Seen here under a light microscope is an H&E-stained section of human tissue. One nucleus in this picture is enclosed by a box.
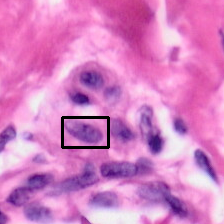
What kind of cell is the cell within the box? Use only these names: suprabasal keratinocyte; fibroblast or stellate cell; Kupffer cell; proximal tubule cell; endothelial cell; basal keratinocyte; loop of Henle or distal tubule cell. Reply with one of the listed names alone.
endothelial cell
